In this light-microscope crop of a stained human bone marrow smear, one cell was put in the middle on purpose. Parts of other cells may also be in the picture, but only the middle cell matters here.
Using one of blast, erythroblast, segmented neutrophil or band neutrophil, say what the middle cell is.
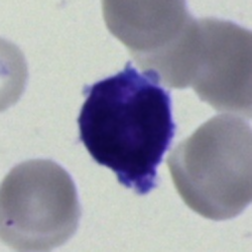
blast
